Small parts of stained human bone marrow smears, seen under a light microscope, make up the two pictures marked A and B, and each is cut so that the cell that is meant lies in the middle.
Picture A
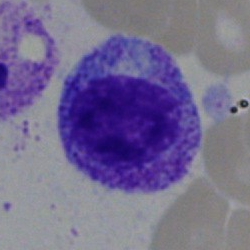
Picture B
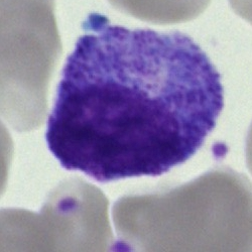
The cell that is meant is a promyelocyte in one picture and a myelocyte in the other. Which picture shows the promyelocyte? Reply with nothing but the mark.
B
